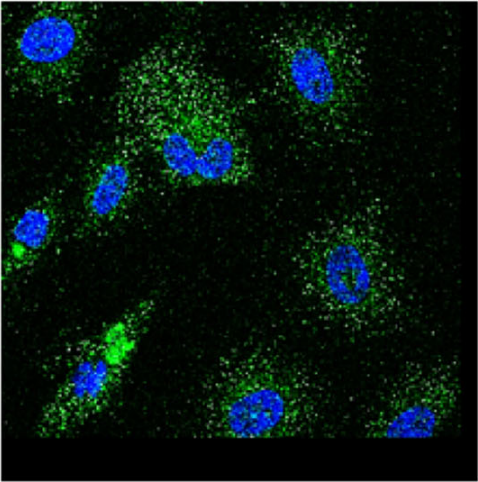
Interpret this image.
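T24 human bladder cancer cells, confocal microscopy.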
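The green appears as numerous small discrete dots spread through the cytoplasm around each nucleus, clustering more densely near the nucleus in some cells and thinning toward the periphery. Cells are spaced apart with dark background between them, and their outlines are defined only by the extent of the dots. One cell shows two closely apposed nuclei. A few small cells show brighter, more condensed green patches beside their nuclei. The nuclei have a mottled chromatin texture.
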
